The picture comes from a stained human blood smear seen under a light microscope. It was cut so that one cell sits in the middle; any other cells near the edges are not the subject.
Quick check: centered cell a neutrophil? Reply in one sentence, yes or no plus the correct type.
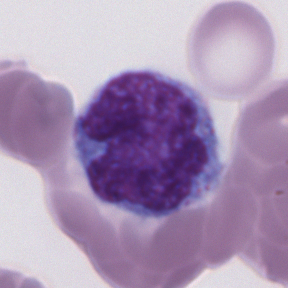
No, the central cell in this crop is a monocyte and not a neutrophil.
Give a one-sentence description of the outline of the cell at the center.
Happy to help: the outline is smooth and shows no projections.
